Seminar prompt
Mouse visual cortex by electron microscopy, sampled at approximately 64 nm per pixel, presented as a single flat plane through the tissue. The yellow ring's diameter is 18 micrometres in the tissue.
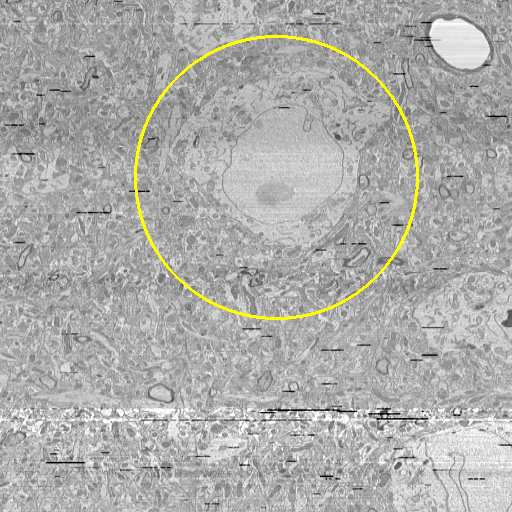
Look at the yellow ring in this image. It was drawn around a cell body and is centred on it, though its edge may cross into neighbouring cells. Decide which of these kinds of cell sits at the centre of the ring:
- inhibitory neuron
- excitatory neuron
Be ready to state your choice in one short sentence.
The kind of cell at the ring's centre is an excitatory neuron.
